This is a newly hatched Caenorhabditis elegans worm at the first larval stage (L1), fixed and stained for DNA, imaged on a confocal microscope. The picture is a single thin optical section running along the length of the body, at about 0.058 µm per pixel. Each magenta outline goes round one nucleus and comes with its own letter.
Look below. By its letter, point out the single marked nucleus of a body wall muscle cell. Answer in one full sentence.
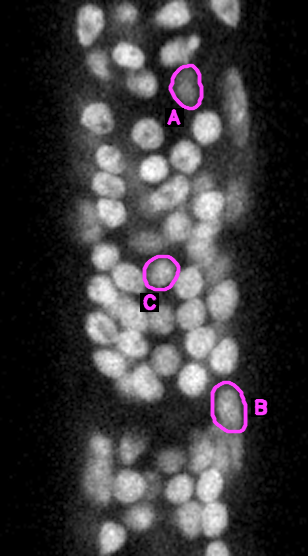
The one from a body wall muscle cell is B.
